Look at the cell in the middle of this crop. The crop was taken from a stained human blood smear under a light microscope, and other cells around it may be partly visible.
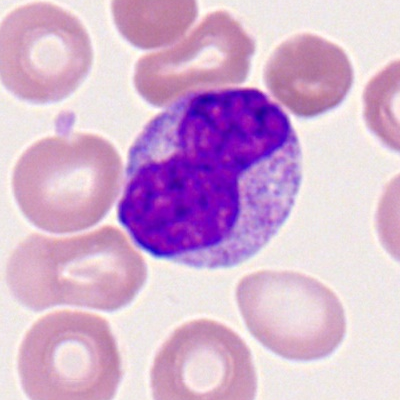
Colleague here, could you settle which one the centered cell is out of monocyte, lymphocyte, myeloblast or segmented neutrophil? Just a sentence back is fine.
As for the cell in the middle, it is a monocyte.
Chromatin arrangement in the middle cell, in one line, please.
Thanks for asking; the chromatin is coarsely clumped.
